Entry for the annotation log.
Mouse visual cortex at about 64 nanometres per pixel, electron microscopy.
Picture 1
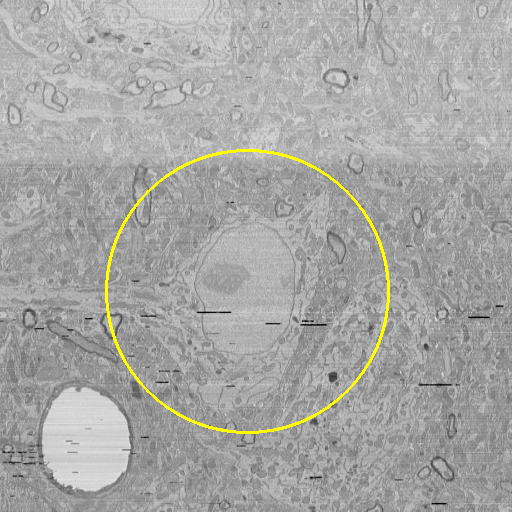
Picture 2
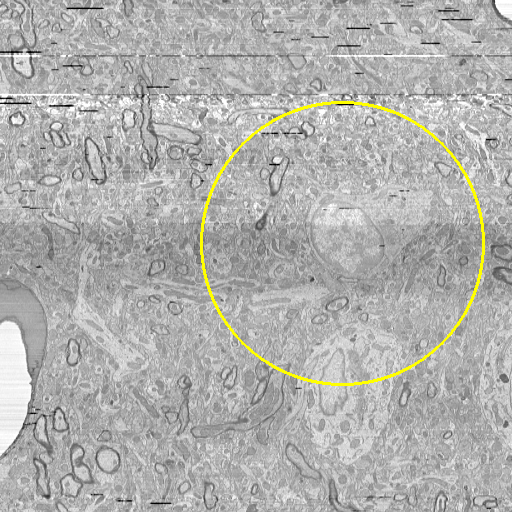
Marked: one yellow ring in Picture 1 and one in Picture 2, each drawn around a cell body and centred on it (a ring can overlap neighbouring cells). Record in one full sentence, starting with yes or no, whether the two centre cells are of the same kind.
No, the two cells are of two kinds.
